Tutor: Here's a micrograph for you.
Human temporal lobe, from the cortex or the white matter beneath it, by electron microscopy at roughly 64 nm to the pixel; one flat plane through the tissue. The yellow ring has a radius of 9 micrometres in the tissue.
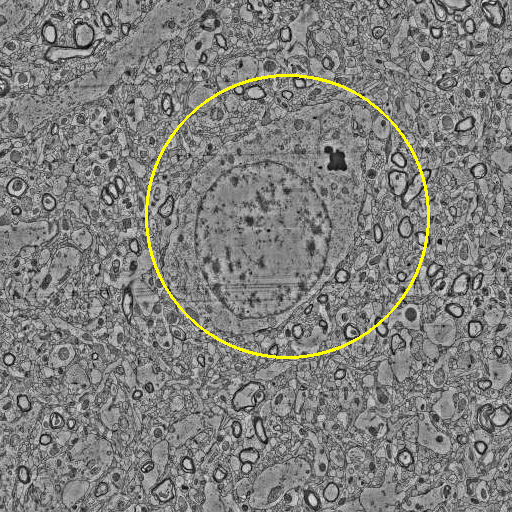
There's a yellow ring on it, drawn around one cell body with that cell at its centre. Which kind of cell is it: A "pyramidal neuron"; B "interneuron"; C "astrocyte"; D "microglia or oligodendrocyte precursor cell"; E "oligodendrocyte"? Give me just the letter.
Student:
B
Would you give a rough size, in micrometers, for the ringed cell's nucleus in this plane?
Approximately 10 by 9 micrometers in this plane.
